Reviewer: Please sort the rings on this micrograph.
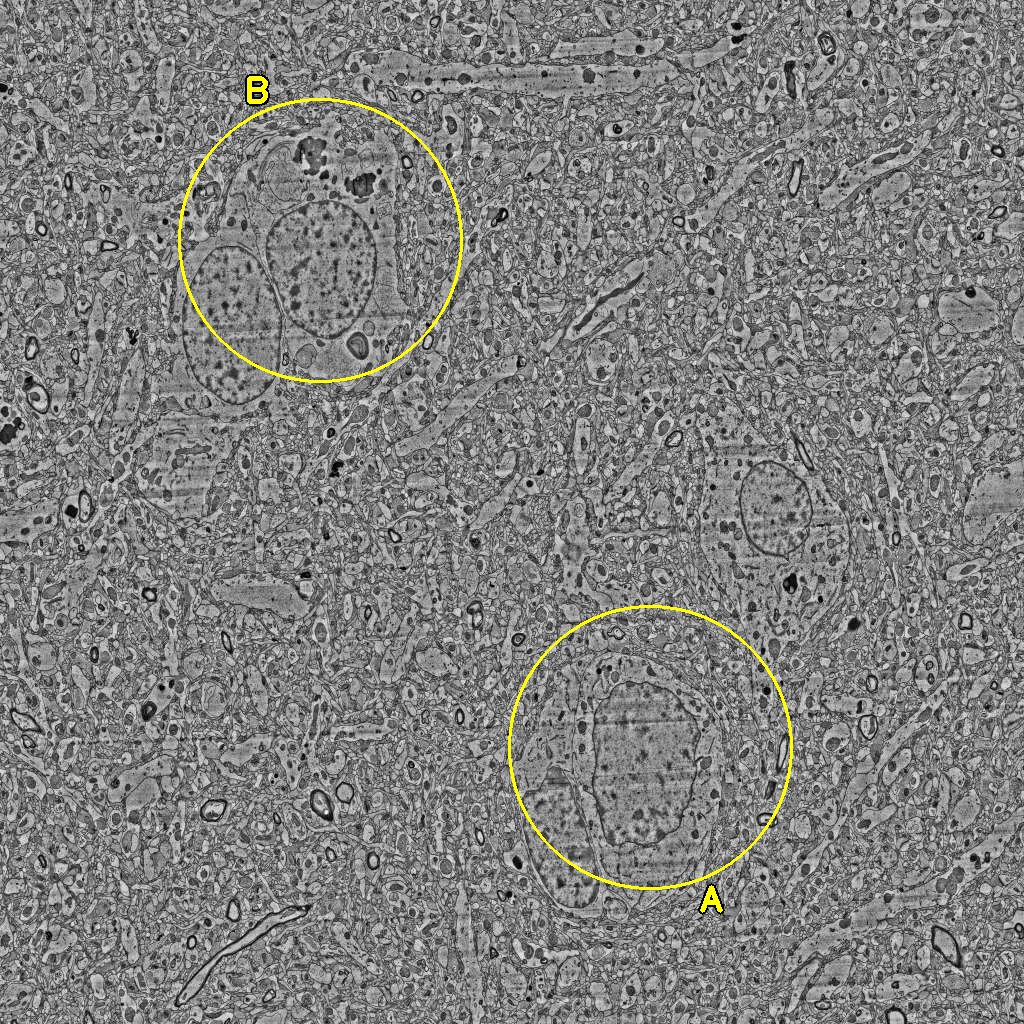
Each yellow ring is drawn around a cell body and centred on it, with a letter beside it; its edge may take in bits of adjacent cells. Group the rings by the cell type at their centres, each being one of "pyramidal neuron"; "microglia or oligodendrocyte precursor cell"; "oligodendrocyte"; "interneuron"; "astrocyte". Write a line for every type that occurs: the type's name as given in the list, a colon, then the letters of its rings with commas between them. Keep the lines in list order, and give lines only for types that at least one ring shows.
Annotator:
pyramidal neuron: A
astrocyte: B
